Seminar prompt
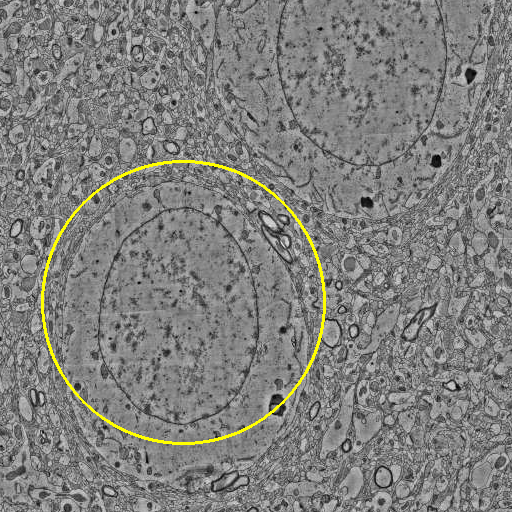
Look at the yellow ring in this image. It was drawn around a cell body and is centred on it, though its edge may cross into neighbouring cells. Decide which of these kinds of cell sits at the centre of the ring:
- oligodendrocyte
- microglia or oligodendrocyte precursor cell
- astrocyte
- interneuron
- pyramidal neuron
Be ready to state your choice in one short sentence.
The kind of cell at the ring's centre is a pyramidal neuron.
